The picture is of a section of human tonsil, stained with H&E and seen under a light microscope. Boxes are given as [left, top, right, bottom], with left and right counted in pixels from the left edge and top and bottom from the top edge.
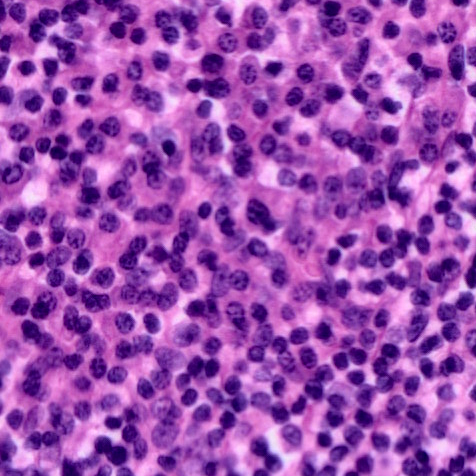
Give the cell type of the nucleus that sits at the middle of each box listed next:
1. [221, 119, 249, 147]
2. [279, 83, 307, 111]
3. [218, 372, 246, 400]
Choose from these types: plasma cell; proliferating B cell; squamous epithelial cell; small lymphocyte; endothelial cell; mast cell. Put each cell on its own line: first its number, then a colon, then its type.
1: plasma cell
2: plasma cell
3: small lymphocyte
